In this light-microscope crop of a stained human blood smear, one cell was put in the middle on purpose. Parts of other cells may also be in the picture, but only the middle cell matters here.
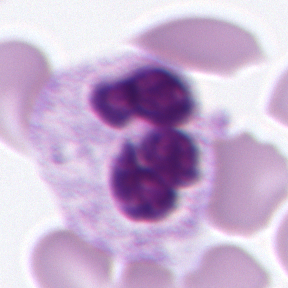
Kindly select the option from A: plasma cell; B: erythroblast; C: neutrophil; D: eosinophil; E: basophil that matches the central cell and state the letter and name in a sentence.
Option C is accurate; the centrally placed cell is a neutrophil.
